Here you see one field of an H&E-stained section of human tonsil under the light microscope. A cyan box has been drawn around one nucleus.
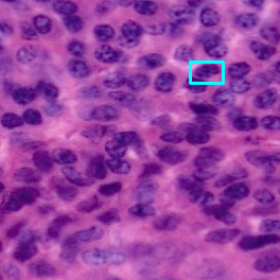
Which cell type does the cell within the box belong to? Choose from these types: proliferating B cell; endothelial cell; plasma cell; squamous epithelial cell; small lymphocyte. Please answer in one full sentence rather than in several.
Right, so the cell within the box is a plasma cell, to answer that.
